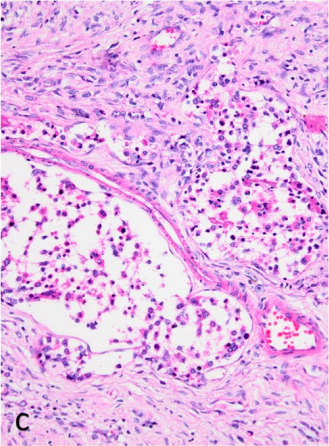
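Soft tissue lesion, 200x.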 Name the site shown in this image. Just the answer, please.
lymphovascular spaces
